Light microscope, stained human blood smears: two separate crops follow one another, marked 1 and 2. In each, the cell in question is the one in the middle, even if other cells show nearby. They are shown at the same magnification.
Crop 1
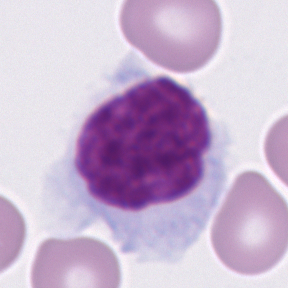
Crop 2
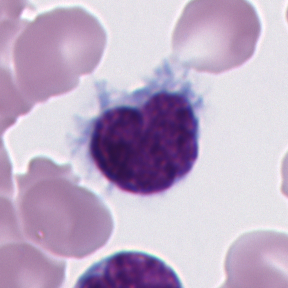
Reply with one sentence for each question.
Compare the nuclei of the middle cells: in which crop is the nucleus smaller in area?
Crop 2 shows the smaller nucleus, since that in crop 1 covers about 1.5 times as much area.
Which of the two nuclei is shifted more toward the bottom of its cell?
In crop 2 the nucleus is shifted more toward the bottom.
